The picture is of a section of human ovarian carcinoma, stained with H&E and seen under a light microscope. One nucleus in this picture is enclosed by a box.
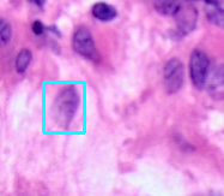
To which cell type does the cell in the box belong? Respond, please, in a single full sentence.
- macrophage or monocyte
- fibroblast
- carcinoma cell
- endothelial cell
The cell type of the cell in the box is that of a fibroblast.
